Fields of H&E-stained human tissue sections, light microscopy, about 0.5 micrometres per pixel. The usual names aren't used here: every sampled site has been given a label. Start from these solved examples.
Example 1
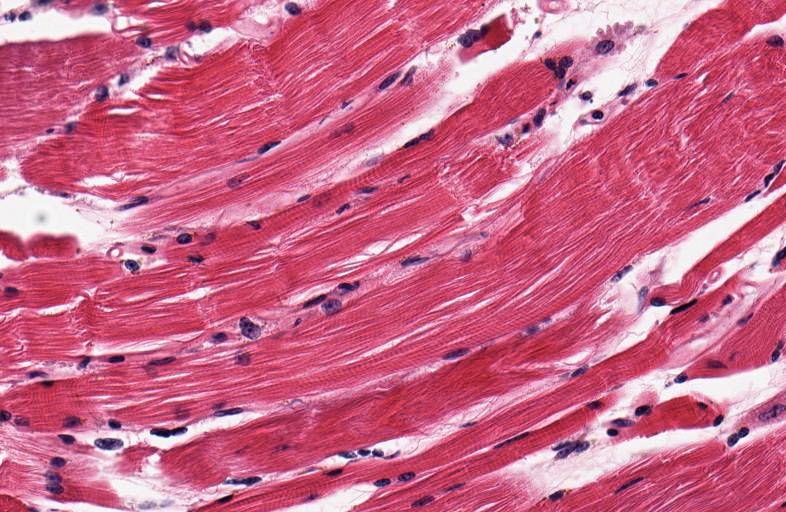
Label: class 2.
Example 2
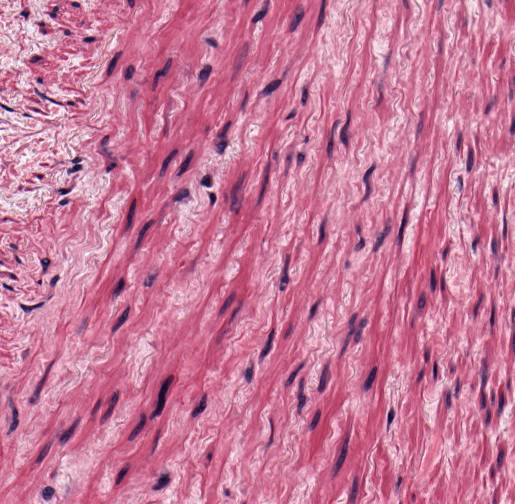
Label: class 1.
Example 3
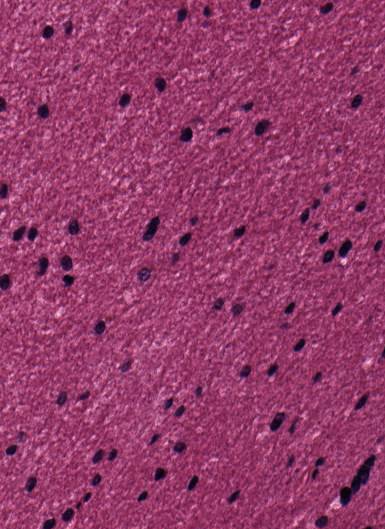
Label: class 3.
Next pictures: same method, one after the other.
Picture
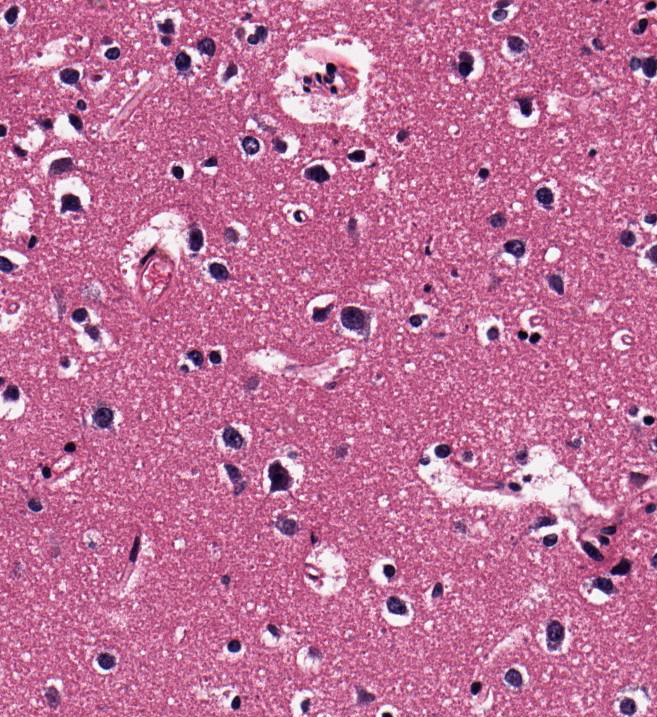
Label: class 3.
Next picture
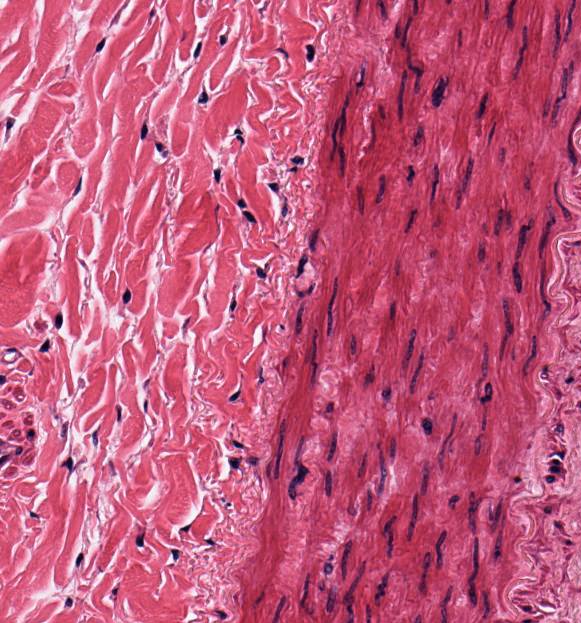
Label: class 1.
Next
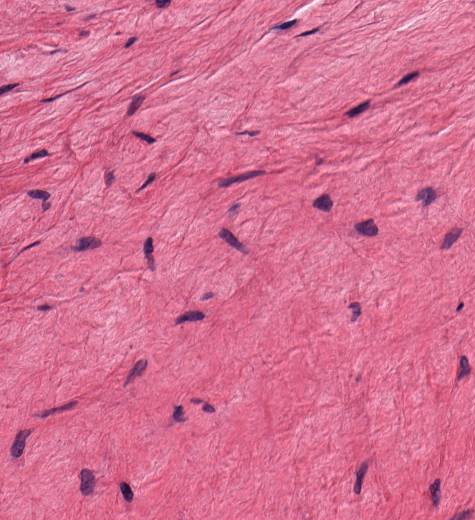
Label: class 1.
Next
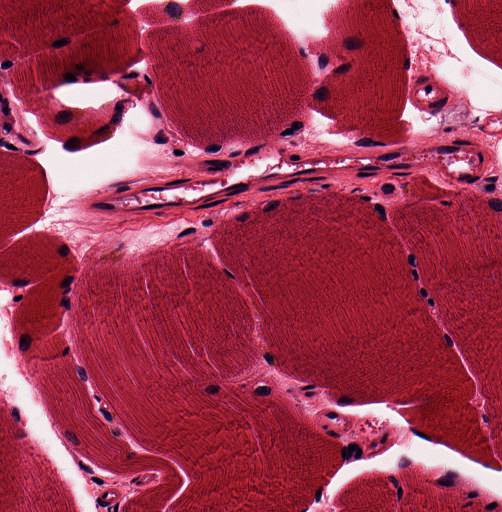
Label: class 2.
